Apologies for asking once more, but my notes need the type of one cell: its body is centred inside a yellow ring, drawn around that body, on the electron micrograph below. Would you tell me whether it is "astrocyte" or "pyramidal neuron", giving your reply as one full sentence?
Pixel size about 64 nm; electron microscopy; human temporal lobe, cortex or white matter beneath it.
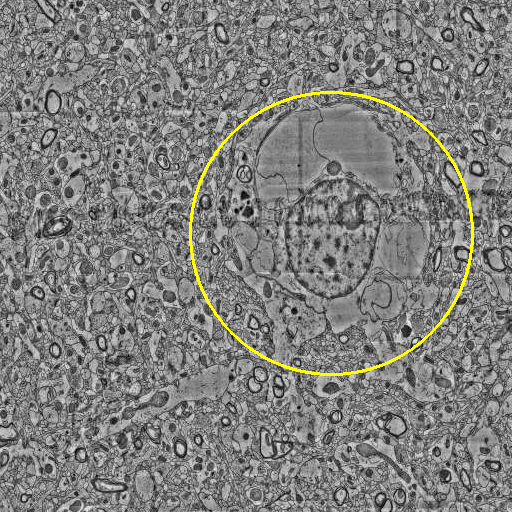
The cell that the yellow ring is centred on is an astrocyte in this micrograph.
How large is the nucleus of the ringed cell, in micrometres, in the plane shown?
About 8 by 6 micrometers, in this plane.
